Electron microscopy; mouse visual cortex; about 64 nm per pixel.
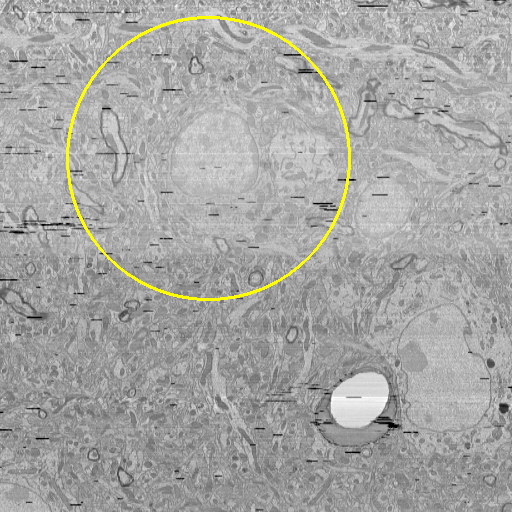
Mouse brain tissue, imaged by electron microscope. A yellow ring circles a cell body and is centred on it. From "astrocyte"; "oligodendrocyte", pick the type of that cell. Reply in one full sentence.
The cell body at the centre of the yellow ring belongs to an oligodendrocyte.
